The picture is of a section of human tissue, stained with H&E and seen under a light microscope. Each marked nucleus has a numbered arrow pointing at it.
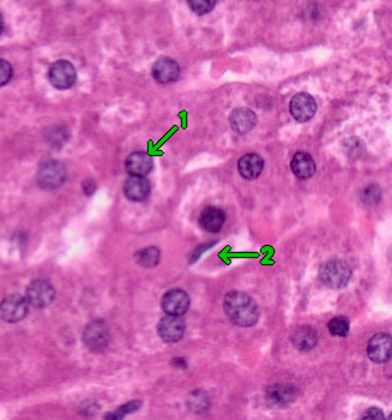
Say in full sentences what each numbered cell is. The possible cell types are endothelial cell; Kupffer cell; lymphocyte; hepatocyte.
Cell 1 is a hepatocyte. Cell 2 is an endothelial cell.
